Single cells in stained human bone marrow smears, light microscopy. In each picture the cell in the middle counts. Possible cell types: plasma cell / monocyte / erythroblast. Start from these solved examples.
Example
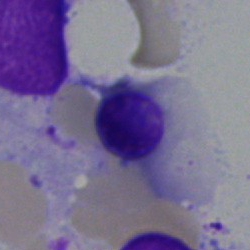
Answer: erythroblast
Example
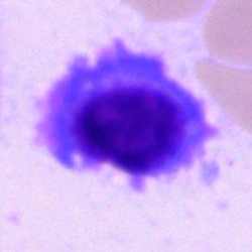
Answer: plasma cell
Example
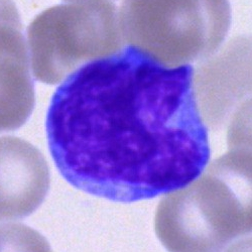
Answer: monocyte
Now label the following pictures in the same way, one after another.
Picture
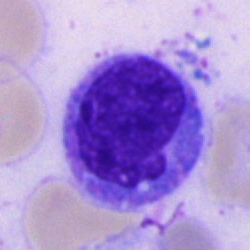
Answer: monocyte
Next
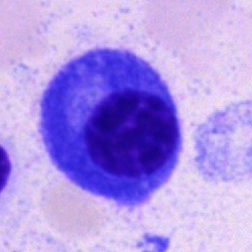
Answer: plasma cell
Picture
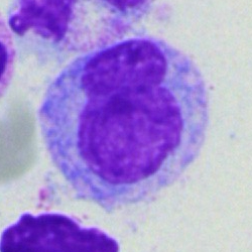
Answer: monocyte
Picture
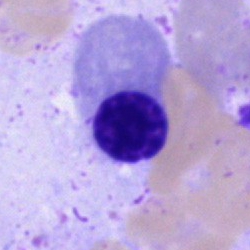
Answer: erythroblast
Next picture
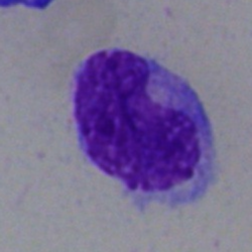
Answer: monocyte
